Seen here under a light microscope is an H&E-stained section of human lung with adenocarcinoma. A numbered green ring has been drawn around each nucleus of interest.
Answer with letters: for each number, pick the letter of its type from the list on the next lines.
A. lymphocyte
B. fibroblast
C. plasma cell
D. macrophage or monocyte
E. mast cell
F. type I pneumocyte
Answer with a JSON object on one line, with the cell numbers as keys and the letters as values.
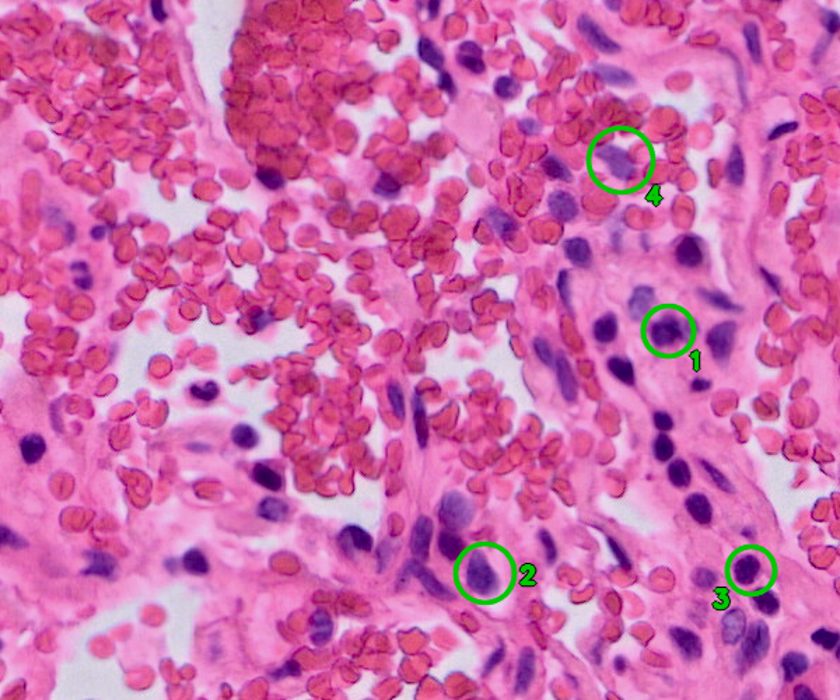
{"1": "C", "2": "F", "3": "A", "4": "F"}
